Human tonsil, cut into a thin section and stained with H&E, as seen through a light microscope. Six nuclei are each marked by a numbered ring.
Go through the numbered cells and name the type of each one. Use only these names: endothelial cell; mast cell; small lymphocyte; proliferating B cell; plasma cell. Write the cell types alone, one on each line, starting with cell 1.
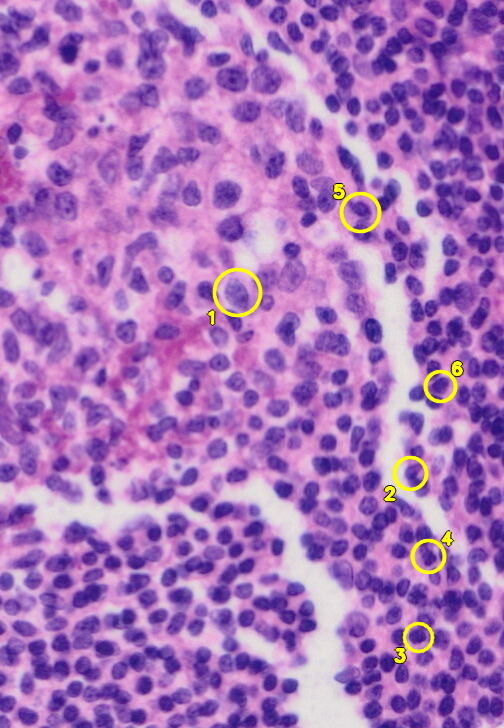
proliferating B cell
small lymphocyte
small lymphocyte
small lymphocyte
proliferating B cell
small lymphocyte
